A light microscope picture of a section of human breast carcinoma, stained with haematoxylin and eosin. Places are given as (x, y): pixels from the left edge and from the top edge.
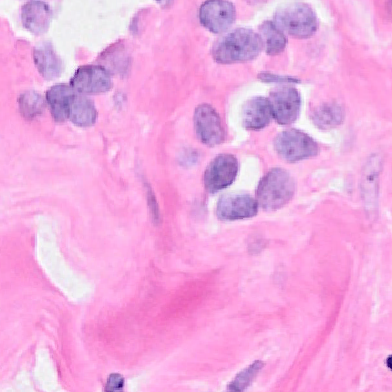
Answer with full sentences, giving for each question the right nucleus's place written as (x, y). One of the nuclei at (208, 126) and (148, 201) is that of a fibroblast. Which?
Of the pair, the nucleus located at (148, 201) belongs to a fibroblast.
